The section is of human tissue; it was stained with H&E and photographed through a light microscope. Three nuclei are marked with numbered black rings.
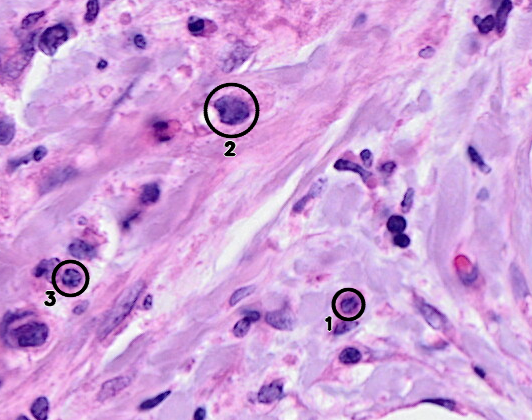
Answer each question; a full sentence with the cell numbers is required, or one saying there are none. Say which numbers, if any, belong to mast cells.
The cells picked out by numbers 1 and 3 are mast cells.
